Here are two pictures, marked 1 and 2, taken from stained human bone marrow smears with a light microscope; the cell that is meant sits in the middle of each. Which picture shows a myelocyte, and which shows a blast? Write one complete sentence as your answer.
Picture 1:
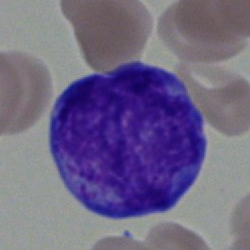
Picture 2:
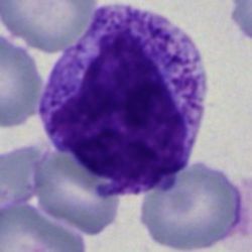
It is picture 1 that shows a blast, and picture 2 that shows a myelocyte.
